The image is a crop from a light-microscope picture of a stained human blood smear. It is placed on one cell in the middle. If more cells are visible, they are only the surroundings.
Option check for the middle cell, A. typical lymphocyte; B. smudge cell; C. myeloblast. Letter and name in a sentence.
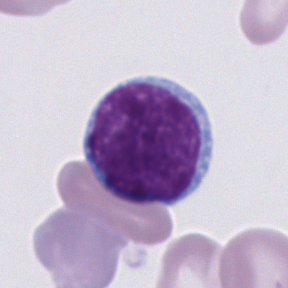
In this crop the middle cell is a typical lymphocyte, so option A is the correct answer.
